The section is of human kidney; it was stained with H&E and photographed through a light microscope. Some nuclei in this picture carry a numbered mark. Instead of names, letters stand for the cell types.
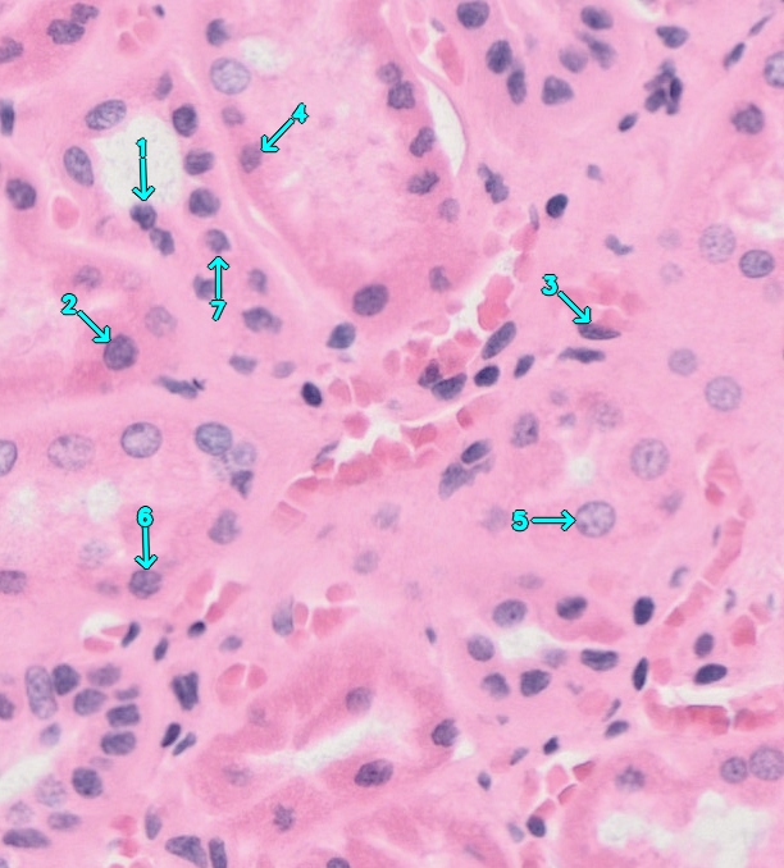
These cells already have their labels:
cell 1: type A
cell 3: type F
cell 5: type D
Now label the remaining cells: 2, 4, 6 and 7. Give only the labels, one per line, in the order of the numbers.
type D
type D
type D
type A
